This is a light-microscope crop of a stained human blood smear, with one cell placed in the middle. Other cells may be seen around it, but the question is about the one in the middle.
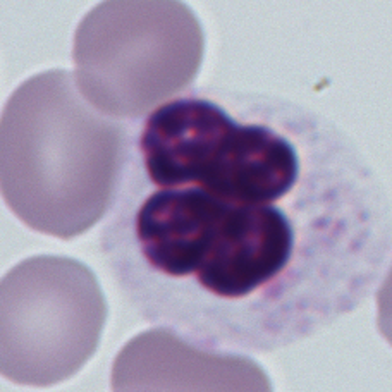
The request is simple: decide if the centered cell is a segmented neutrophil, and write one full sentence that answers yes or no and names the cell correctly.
Yes, the cell that the crop is centred on is a segmented neutrophil.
